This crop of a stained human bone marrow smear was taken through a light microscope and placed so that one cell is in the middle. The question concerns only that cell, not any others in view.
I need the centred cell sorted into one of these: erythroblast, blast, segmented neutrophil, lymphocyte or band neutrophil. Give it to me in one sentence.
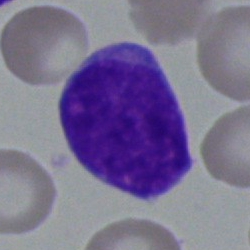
By classification, the middle cell of this crop is a blast.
